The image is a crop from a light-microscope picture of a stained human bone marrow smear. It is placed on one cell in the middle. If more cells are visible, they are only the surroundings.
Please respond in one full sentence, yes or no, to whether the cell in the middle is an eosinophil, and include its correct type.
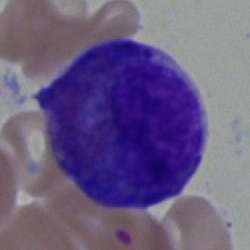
Yes, this crop has an eosinophil at its centre.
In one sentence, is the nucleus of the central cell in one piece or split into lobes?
A single compact nucleus, round, oval or kidney-shaped, is what this cell shows.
